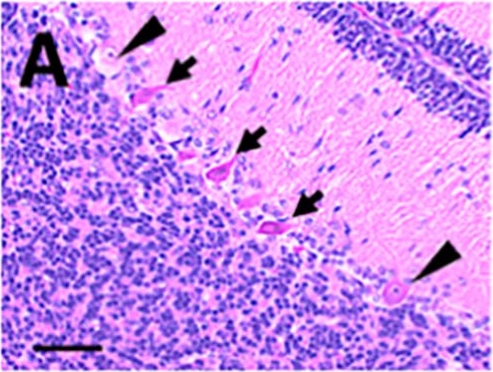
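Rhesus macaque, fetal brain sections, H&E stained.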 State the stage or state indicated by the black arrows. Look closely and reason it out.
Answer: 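The marked cells are tapered, intensely pink cell bodies. They lie in a single row between the dense blue granular layer and the pale pink molecular layer. Their nuclei are small and dark. On this evidence: shrunken, hypereosinophilic Purkinje cells.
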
